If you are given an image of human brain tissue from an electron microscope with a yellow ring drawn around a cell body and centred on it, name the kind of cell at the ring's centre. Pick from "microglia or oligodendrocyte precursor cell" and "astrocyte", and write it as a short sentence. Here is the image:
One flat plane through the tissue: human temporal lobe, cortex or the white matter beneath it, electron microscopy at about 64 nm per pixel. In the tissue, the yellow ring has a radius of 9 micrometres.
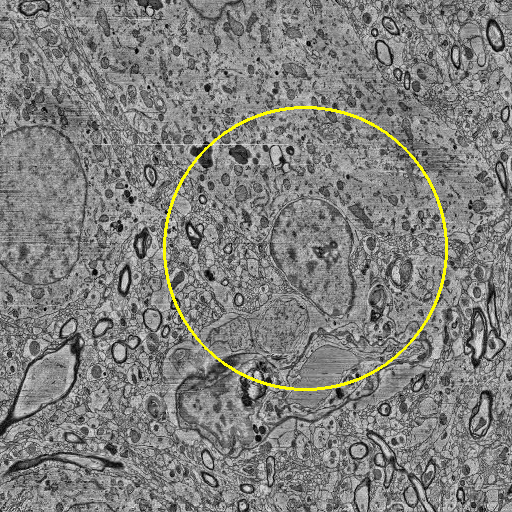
The cell at the ring's centre is a microglial cell or oligodendrocyte precursor cell.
